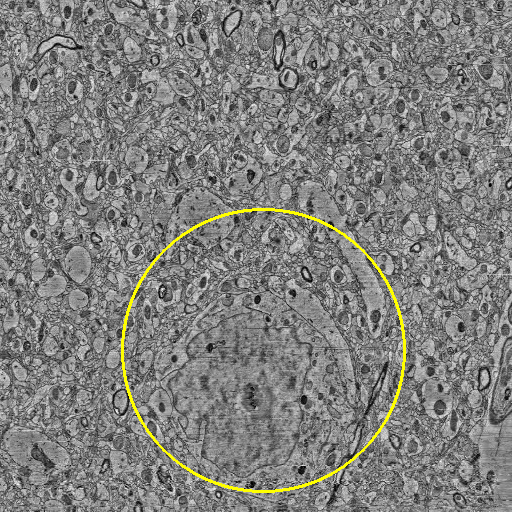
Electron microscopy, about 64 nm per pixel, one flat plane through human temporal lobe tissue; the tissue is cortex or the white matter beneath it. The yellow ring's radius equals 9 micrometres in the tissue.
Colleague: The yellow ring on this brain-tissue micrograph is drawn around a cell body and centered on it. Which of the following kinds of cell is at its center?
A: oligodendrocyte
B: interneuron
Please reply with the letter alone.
B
